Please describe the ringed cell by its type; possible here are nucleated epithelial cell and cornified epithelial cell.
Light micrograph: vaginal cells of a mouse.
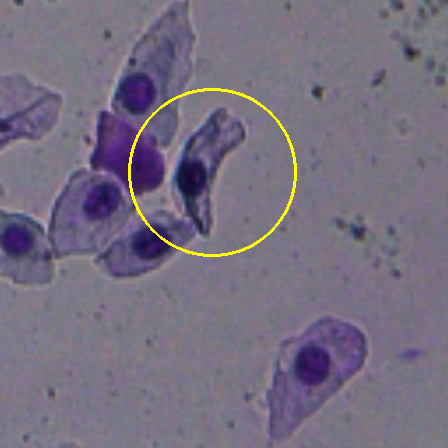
The yellow ring marks a nucleated epithelial cell.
